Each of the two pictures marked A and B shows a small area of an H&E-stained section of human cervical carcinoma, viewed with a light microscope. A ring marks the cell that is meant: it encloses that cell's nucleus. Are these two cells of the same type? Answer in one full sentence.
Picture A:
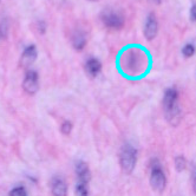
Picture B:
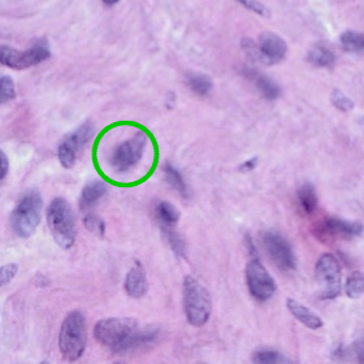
No, the types are not the same, since picture A shows a smooth muscle cell and picture B a fibroblast.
